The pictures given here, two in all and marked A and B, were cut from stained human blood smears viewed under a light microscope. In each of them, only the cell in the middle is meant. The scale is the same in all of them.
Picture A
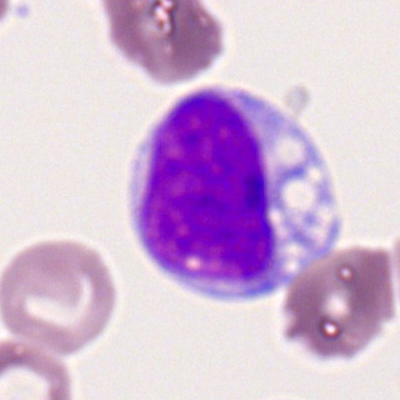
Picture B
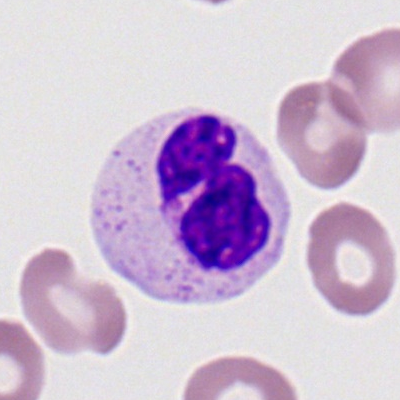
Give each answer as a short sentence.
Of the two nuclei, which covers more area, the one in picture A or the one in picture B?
It is the nucleus in picture A, about 1.5 times as large in area as the one in picture B.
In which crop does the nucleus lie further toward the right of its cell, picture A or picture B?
It is the nucleus in picture B that lies further toward the right of its cell.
